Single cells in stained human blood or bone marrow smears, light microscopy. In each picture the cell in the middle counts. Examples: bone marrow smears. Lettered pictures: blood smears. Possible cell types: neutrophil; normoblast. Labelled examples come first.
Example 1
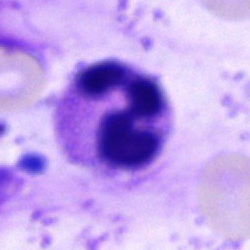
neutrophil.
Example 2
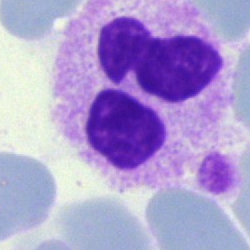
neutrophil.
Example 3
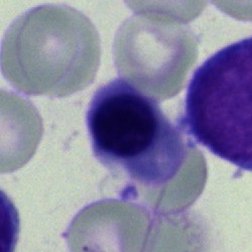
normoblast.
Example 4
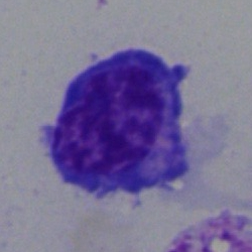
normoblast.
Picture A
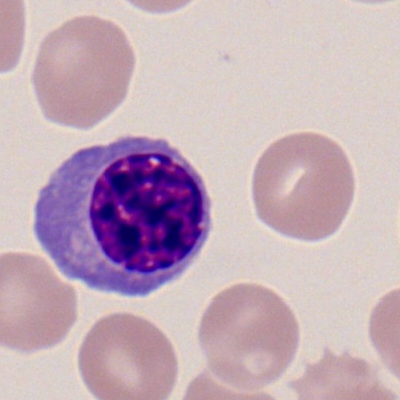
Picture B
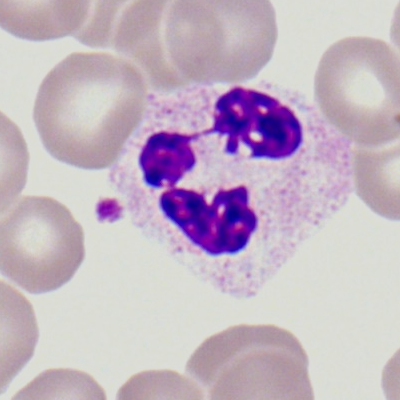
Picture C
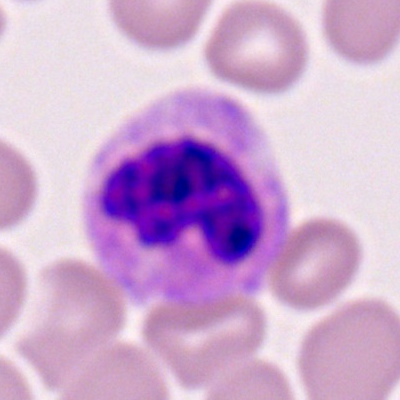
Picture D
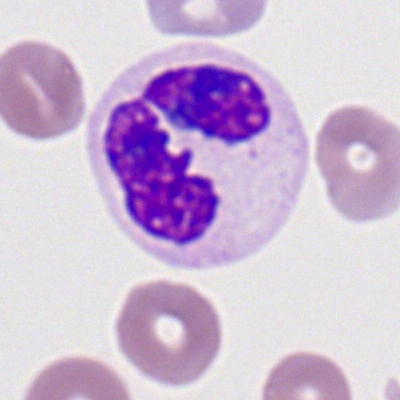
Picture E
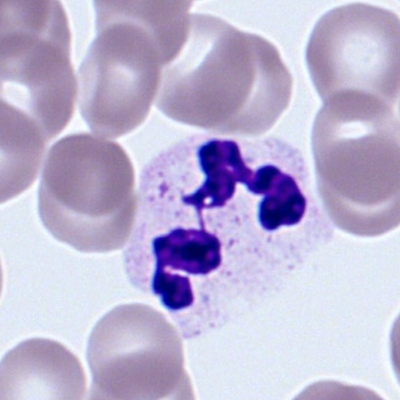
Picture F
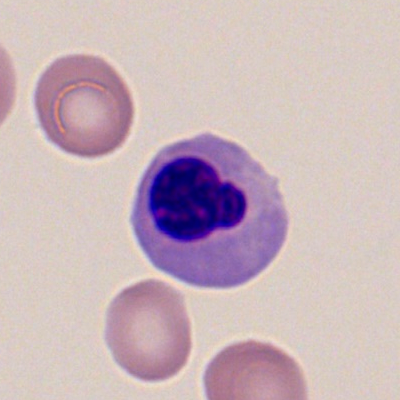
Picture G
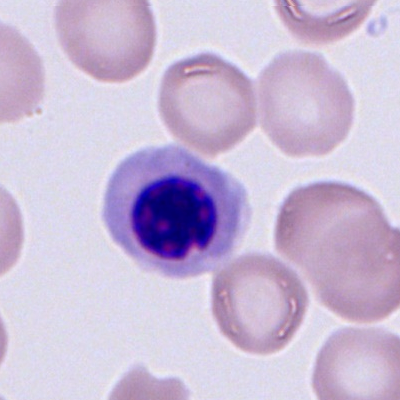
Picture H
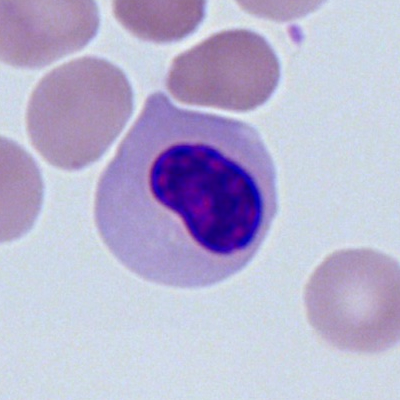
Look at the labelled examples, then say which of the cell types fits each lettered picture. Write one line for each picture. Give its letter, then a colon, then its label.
A: normoblast.
B: neutrophil.
C: neutrophil.
D: neutrophil.
E: neutrophil.
F: normoblast.
G: normoblast.
H: normoblast.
